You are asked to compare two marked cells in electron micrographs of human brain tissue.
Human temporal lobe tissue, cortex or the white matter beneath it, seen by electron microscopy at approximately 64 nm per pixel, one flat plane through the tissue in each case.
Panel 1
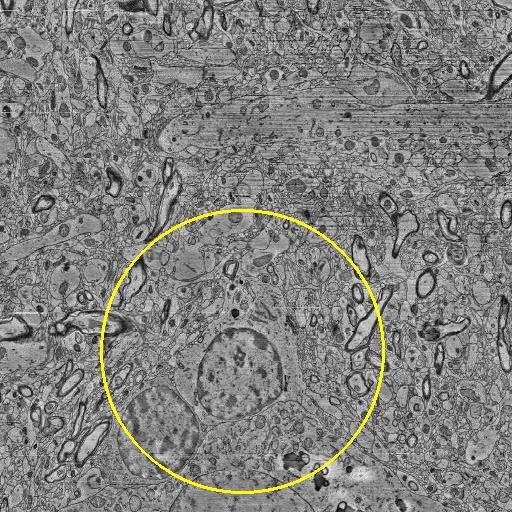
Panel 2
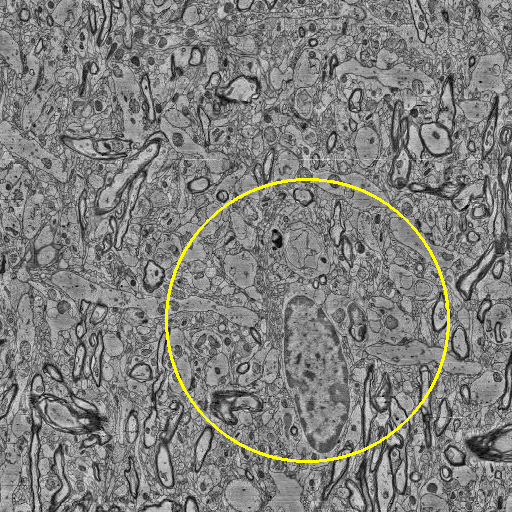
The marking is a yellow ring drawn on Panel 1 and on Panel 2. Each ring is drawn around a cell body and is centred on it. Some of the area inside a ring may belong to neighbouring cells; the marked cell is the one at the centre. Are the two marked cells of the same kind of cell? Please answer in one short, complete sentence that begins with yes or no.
Yes, the two marked cells are of the same kind.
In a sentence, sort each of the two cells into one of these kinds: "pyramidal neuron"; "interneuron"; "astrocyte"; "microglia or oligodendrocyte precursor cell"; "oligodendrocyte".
The ring centre holds a microglial cell or oligodendrocyte precursor cell in each of the two pictures.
